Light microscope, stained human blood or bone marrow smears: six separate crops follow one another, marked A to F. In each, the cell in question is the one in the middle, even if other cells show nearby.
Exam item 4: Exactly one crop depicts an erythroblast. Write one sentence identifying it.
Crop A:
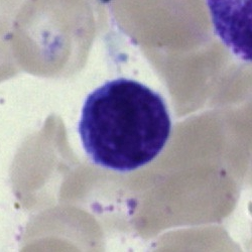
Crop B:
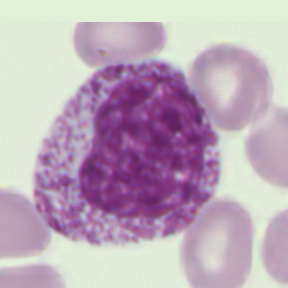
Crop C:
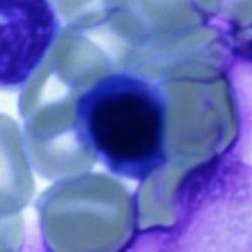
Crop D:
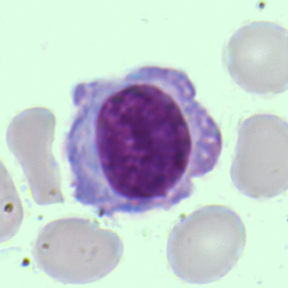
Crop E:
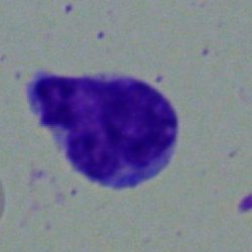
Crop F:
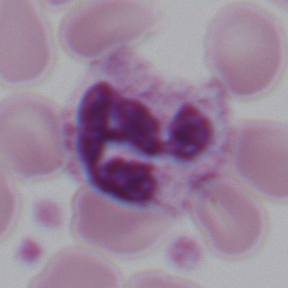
Among the crops given, only crop C shows an erythroblast.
